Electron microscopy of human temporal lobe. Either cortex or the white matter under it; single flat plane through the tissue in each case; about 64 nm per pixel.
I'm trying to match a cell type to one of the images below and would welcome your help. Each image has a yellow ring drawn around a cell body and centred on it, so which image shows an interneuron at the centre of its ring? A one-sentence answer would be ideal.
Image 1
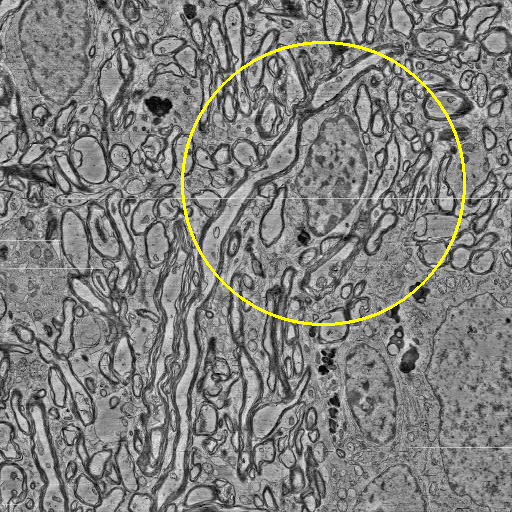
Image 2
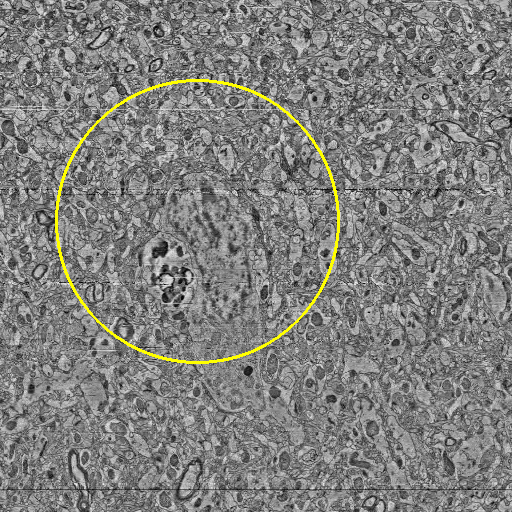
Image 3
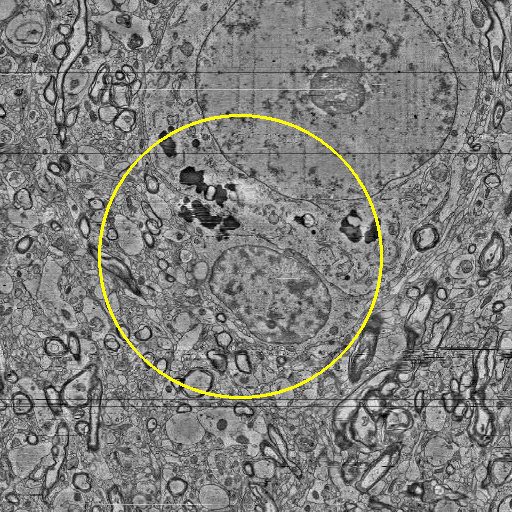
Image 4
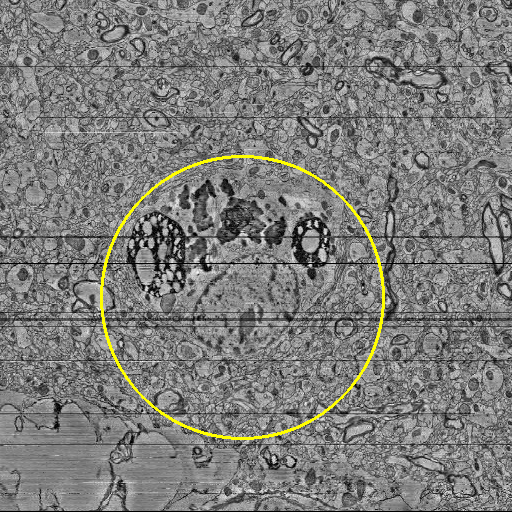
Image 2 shows it at the centre of the ring.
